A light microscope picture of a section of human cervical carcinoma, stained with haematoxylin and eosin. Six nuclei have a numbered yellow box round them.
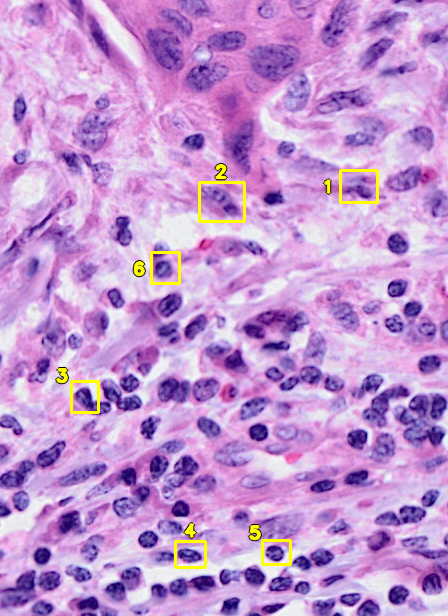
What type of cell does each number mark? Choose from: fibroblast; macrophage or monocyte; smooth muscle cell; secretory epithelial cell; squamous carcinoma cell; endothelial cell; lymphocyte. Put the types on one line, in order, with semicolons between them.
fibroblast; endothelial cell; lymphocyte; lymphocyte; lymphocyte; lymphocyte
